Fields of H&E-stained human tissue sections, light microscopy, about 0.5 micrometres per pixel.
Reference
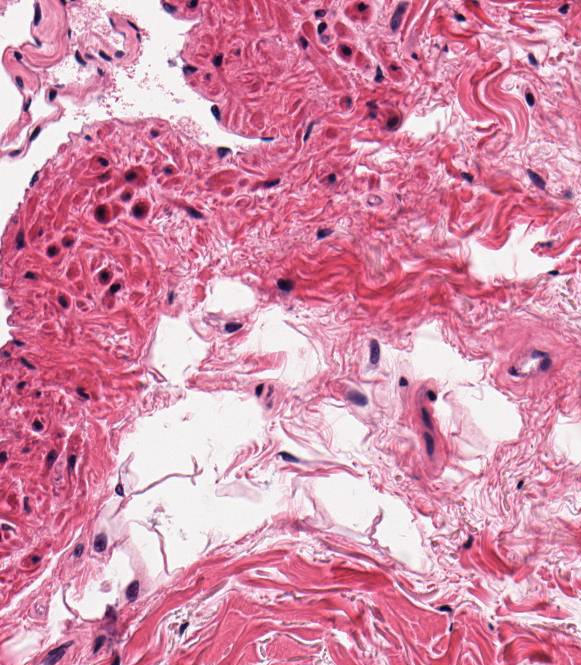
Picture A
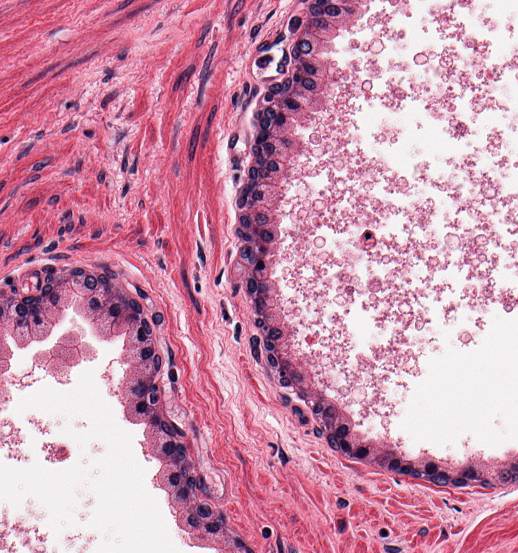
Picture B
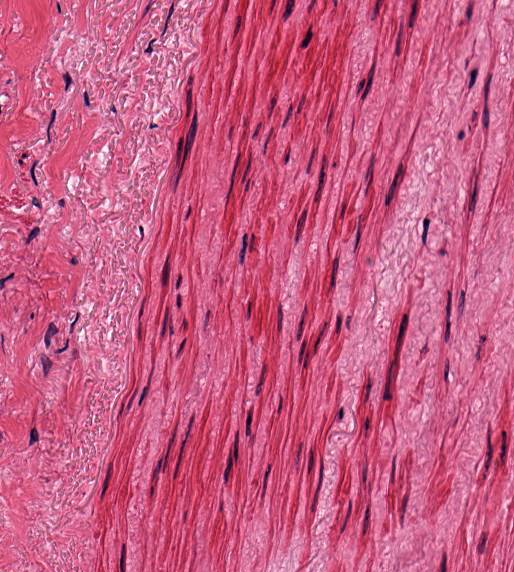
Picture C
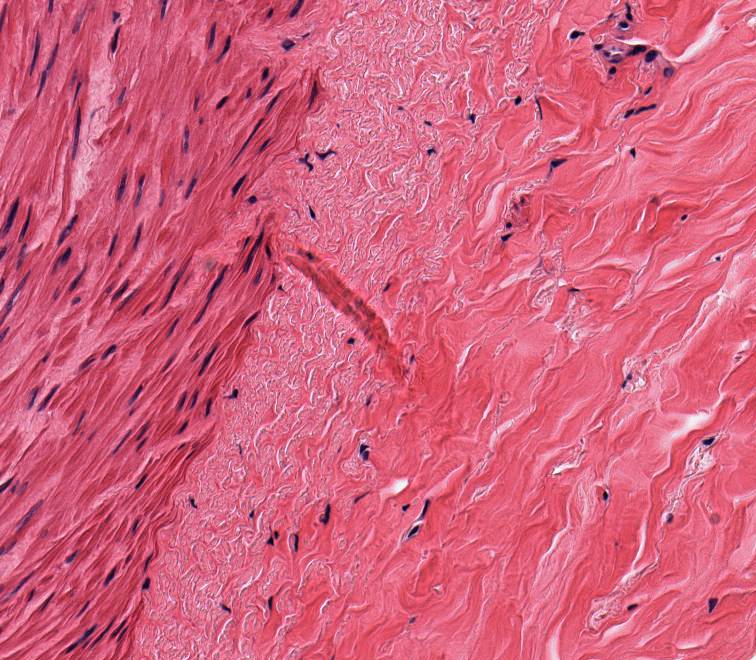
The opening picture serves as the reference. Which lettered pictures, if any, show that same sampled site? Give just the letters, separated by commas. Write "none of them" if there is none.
B, C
